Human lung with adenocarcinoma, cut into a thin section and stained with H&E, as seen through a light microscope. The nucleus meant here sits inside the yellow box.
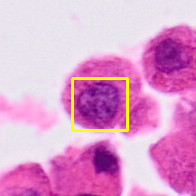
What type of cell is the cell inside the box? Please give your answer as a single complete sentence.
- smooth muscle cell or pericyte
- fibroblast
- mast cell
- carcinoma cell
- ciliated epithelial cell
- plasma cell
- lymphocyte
In this section, the cell inside the box is a carcinoma cell.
